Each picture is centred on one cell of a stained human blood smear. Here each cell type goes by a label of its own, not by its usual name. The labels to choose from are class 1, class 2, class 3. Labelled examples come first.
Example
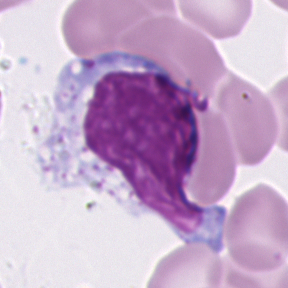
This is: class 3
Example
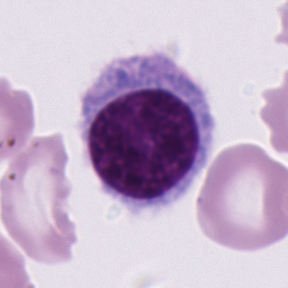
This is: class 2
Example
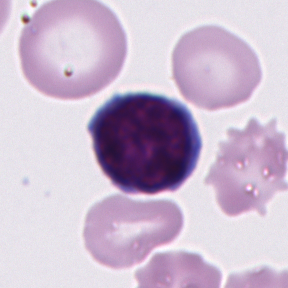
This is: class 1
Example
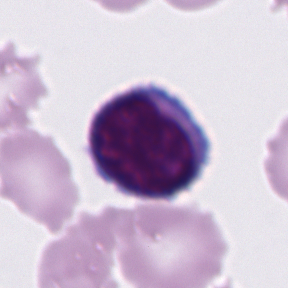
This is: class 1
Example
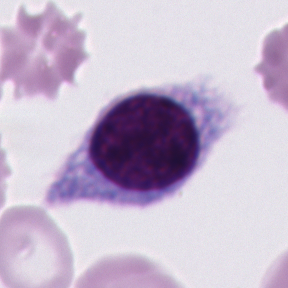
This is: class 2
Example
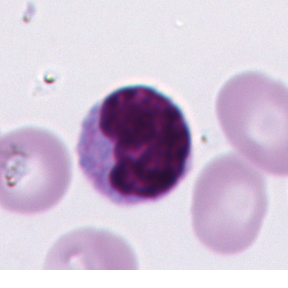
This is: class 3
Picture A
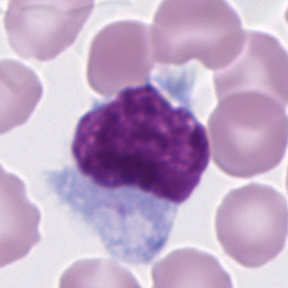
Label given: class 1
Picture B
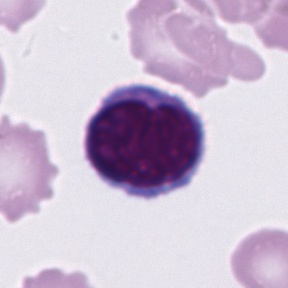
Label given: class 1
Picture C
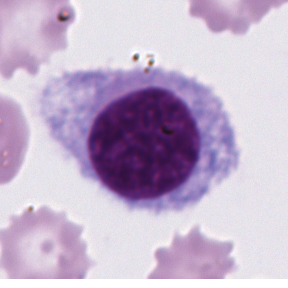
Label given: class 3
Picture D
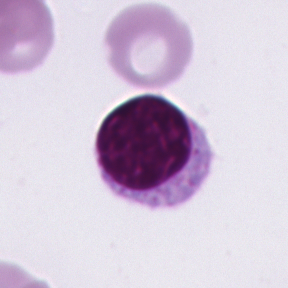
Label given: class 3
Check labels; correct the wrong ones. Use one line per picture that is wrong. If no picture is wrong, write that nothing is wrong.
A: class 2, not class 1
C: class 2, not class 3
